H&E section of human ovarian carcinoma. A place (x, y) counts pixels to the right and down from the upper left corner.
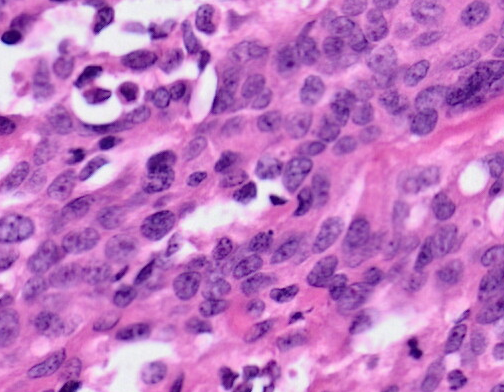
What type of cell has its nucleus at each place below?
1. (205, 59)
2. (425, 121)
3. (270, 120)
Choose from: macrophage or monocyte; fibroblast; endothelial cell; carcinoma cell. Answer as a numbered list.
1. carcinoma cell
2. carcinoma cell
3. macrophage or monocyte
